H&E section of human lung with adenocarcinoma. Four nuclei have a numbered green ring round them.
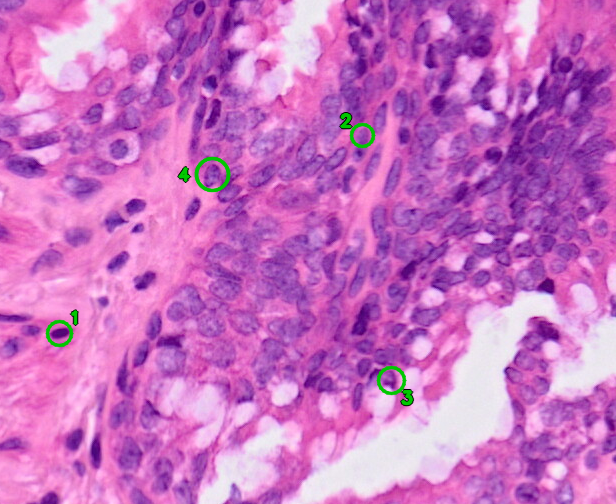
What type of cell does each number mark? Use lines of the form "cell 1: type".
cell 1: smooth muscle cell or pericyte
cell 2: ciliated epithelial cell
cell 3: ciliated epithelial cell
cell 4: ciliated epithelial cell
